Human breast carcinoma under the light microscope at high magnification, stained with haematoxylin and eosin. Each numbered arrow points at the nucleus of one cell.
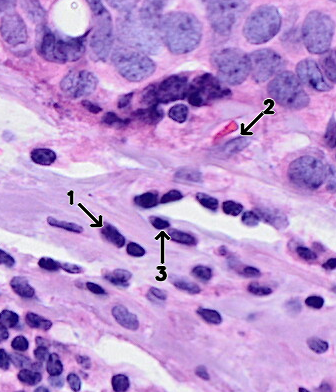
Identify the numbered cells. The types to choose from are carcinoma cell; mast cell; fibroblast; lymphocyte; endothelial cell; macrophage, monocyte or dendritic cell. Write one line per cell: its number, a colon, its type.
1: lymphocyte
2: endothelial cell
3: lymphocyte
